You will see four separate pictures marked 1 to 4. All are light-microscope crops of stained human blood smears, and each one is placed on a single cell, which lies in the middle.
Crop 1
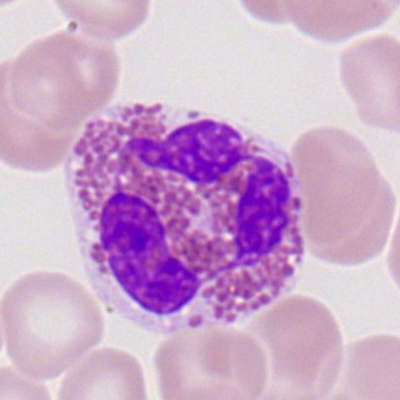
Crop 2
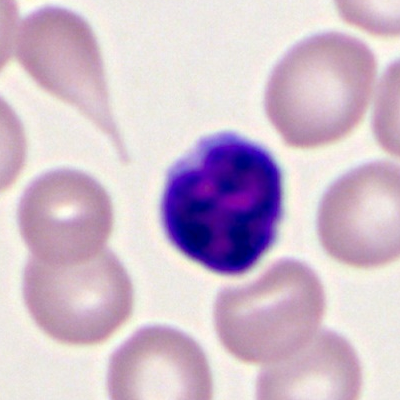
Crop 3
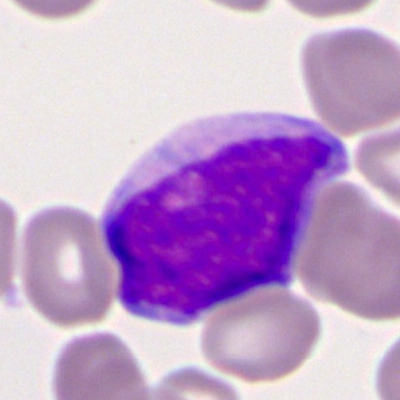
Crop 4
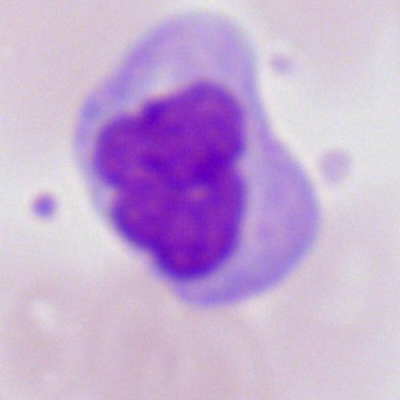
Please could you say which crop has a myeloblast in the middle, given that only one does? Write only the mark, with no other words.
3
